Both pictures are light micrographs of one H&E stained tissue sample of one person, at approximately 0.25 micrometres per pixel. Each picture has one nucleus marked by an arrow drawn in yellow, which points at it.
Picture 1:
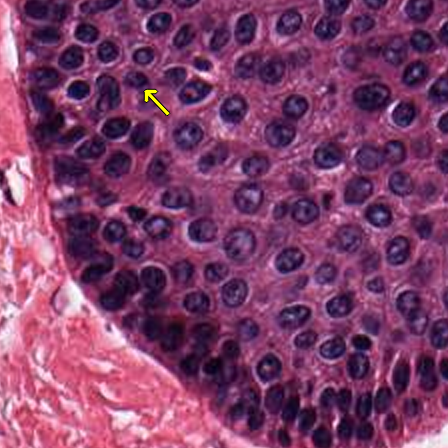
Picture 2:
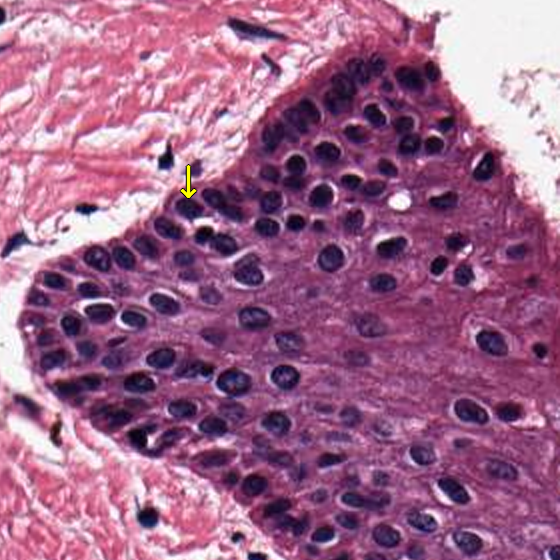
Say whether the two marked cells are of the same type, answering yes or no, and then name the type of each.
Yes, both are squamous epithelial cells.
